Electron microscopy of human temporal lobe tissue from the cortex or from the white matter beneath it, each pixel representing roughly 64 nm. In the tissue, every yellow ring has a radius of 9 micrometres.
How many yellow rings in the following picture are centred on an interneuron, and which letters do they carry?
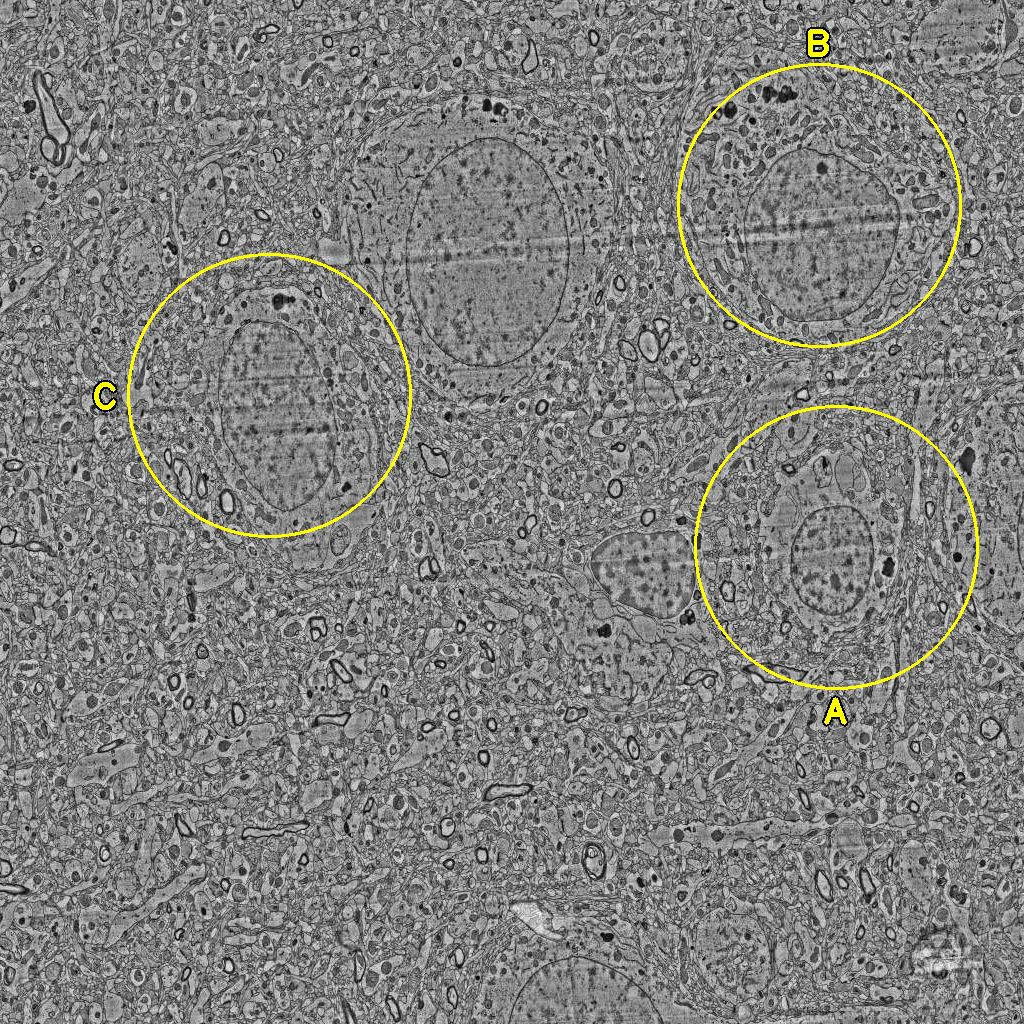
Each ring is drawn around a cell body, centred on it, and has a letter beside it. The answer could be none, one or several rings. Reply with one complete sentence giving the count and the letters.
The two rings tagged with the letters B and C are each centred on an interneuron.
